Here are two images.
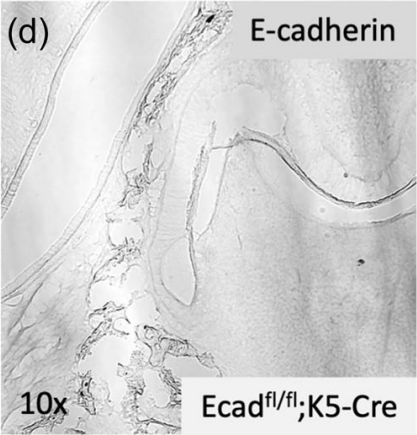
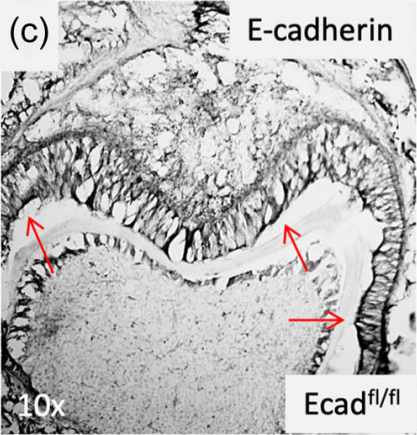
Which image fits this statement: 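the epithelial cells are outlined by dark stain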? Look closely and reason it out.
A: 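Second image: a folded layer of columnar epithelial cells shows dark staining outlining the cells. So: the second image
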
